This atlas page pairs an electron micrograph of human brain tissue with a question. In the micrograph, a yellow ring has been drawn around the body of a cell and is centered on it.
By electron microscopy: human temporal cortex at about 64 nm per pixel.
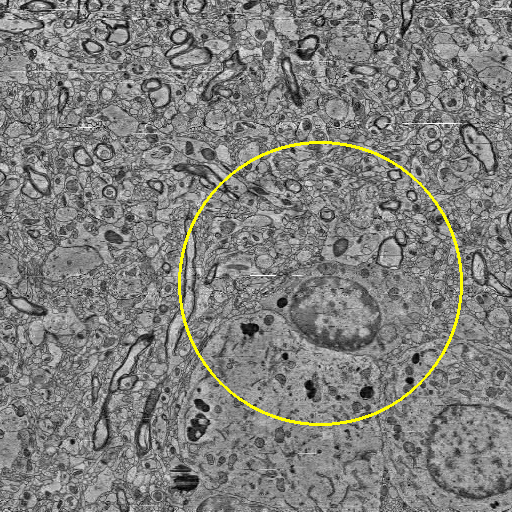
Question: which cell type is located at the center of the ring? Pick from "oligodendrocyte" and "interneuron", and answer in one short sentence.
Located at the center of the ring is an oligodendrocyte.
